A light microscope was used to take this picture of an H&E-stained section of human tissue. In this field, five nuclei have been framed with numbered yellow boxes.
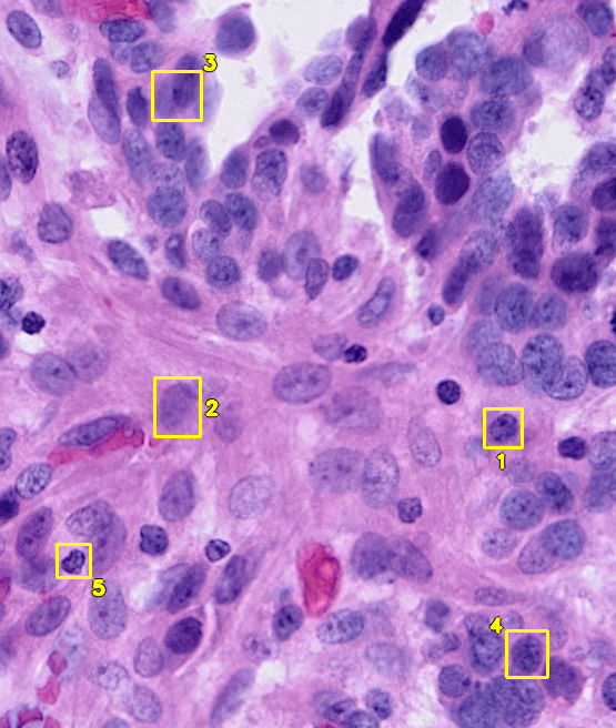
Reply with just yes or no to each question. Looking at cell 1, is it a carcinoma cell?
no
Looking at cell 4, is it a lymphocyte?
no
